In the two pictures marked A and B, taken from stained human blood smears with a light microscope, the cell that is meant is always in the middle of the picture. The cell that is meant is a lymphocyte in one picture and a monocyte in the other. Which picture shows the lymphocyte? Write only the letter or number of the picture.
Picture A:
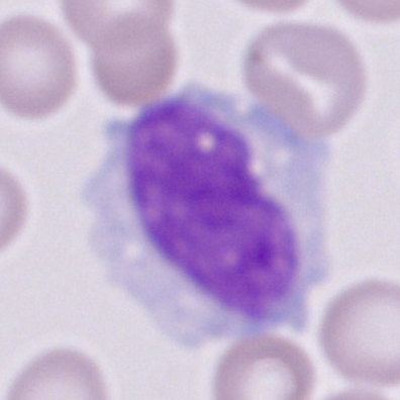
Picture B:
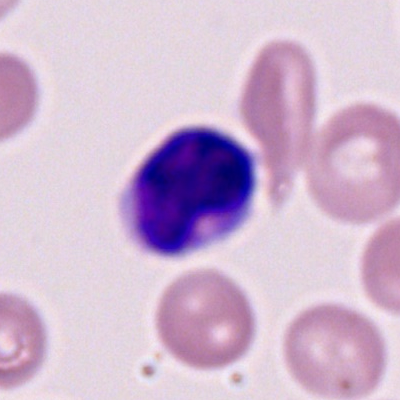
B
